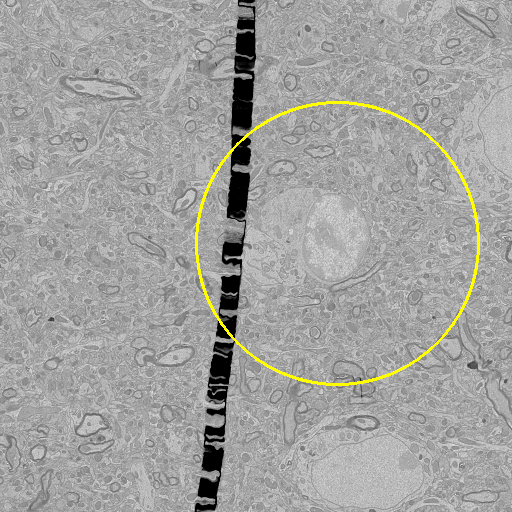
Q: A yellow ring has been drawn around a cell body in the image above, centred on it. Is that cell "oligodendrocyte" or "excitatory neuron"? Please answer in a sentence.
The ring surrounds the cell body of an oligodendrocyte.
